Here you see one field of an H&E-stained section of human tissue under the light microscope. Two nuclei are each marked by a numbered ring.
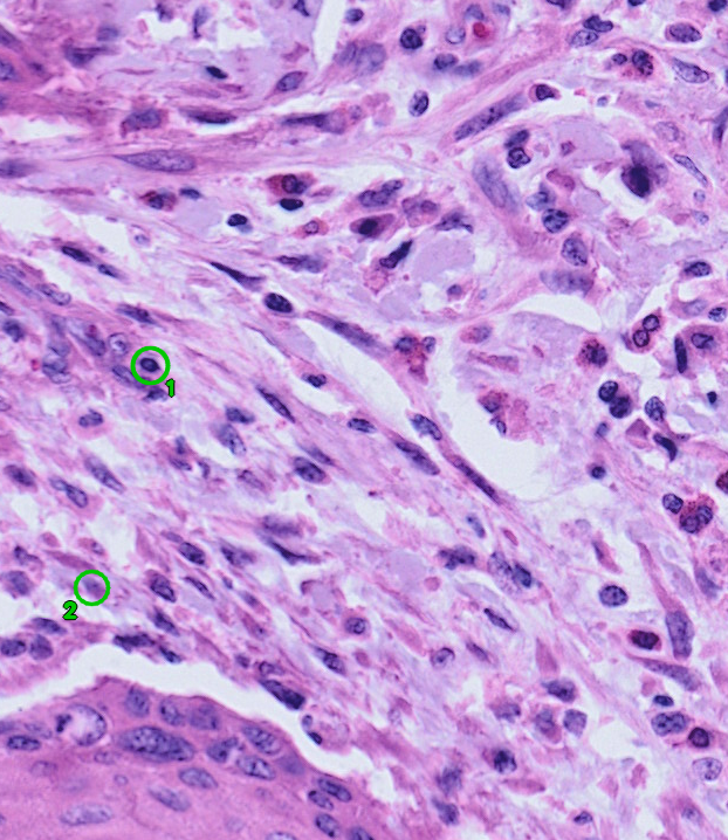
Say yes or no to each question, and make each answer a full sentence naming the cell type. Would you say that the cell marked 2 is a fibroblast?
Yes, the cell numbered 2 in this tissue is a fibroblast.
